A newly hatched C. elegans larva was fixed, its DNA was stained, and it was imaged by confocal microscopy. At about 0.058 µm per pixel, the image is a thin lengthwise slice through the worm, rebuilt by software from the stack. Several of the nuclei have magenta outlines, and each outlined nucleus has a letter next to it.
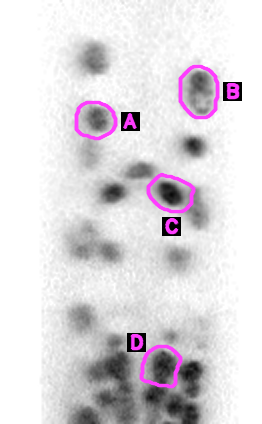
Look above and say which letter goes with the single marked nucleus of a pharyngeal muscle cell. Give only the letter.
D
